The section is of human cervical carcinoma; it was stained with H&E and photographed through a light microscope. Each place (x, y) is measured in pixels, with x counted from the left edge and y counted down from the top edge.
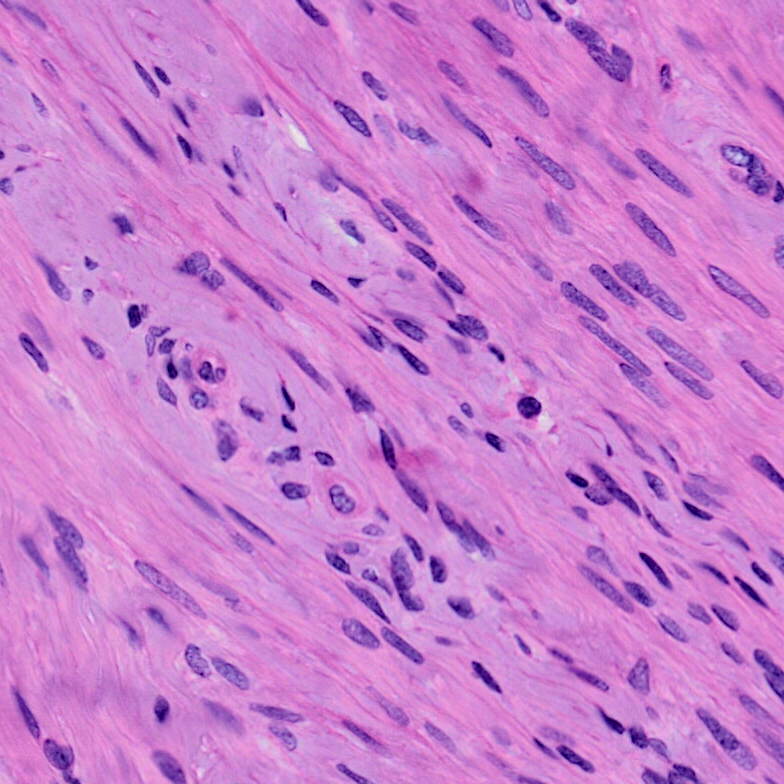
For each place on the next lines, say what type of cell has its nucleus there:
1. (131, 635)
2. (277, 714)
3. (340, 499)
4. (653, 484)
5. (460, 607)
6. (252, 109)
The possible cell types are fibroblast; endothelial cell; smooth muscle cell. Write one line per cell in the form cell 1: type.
cell 1: fibroblast
cell 2: smooth muscle cell
cell 3: endothelial cell
cell 4: fibroblast
cell 5: fibroblast
cell 6: fibroblast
